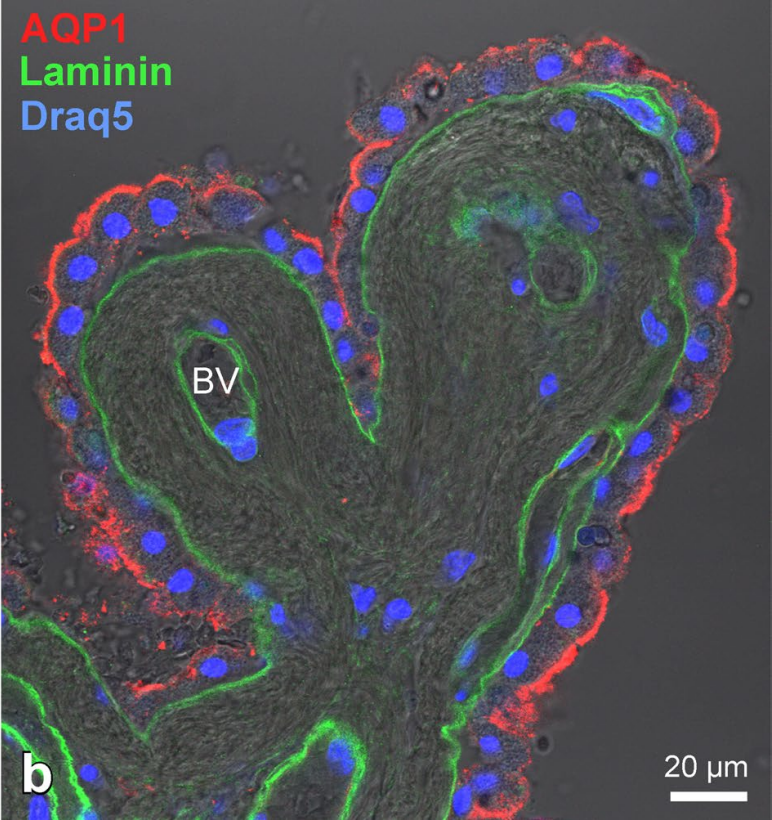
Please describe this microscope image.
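A finger-like fold is covered by a single continuous row of cuboidal cells, each with one round blue nucleus, whose free outer surface is lined with red. Beneath the cells runs a thin green line, and inside lies a broad core of fibrous connective tissue with a small blood vessel ringed by its own green line. This is a choroid plexus villus: epithelial cells on a basal lamina over a thick stroma carrying a blood vessel.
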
